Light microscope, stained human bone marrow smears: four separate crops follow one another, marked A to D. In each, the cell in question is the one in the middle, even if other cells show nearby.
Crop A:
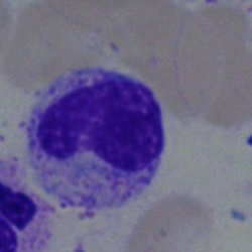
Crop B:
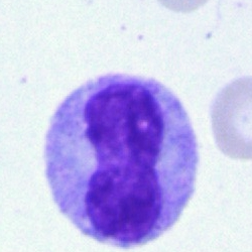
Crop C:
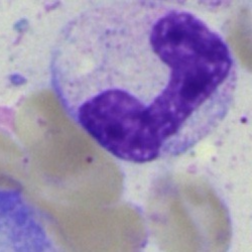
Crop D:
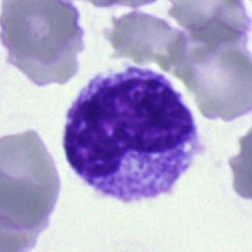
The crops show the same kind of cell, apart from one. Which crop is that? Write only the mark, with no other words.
D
